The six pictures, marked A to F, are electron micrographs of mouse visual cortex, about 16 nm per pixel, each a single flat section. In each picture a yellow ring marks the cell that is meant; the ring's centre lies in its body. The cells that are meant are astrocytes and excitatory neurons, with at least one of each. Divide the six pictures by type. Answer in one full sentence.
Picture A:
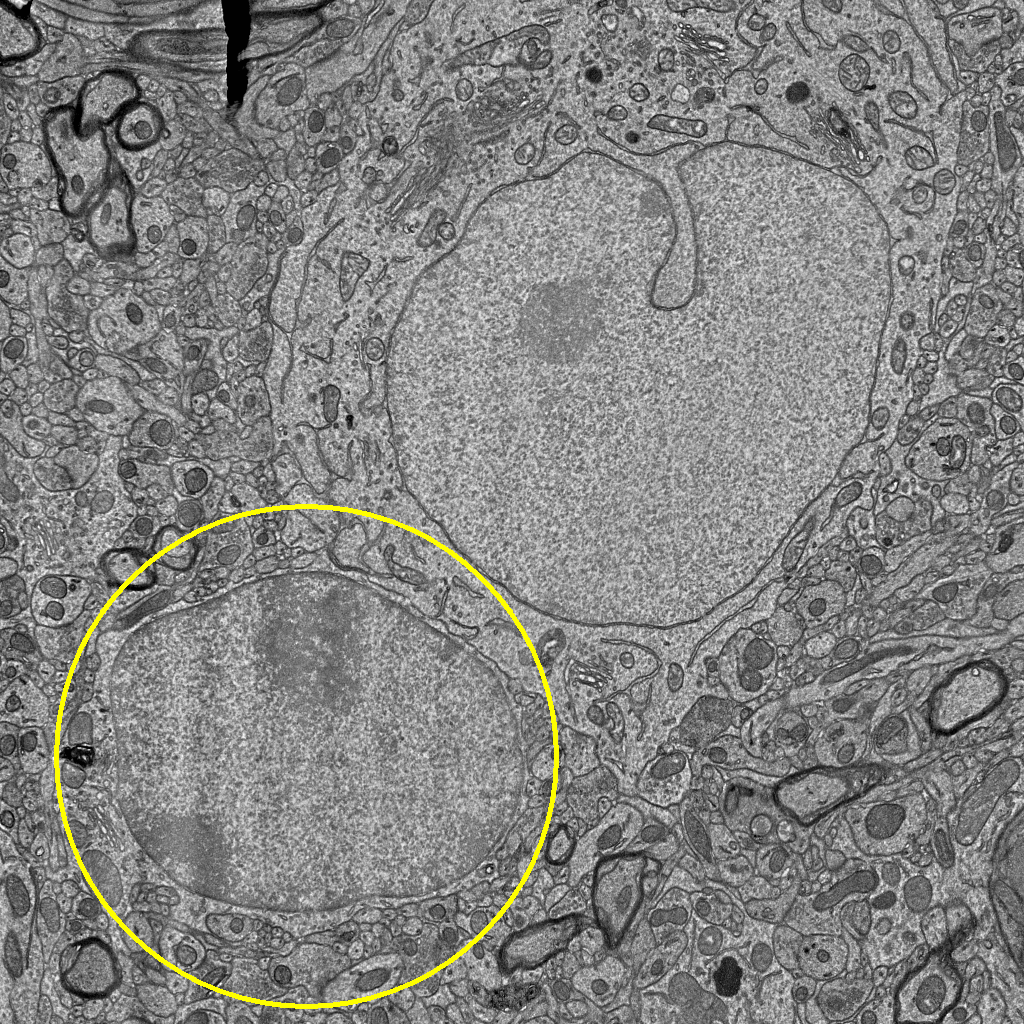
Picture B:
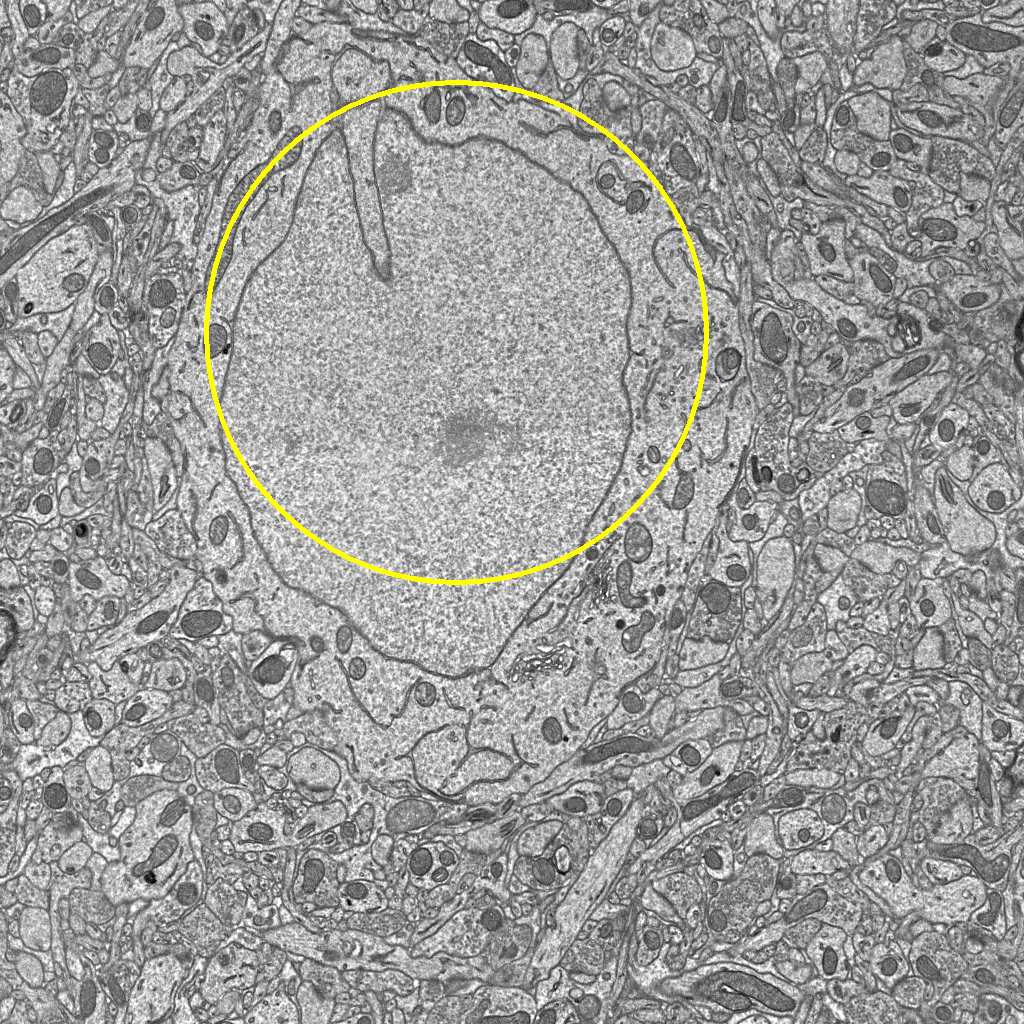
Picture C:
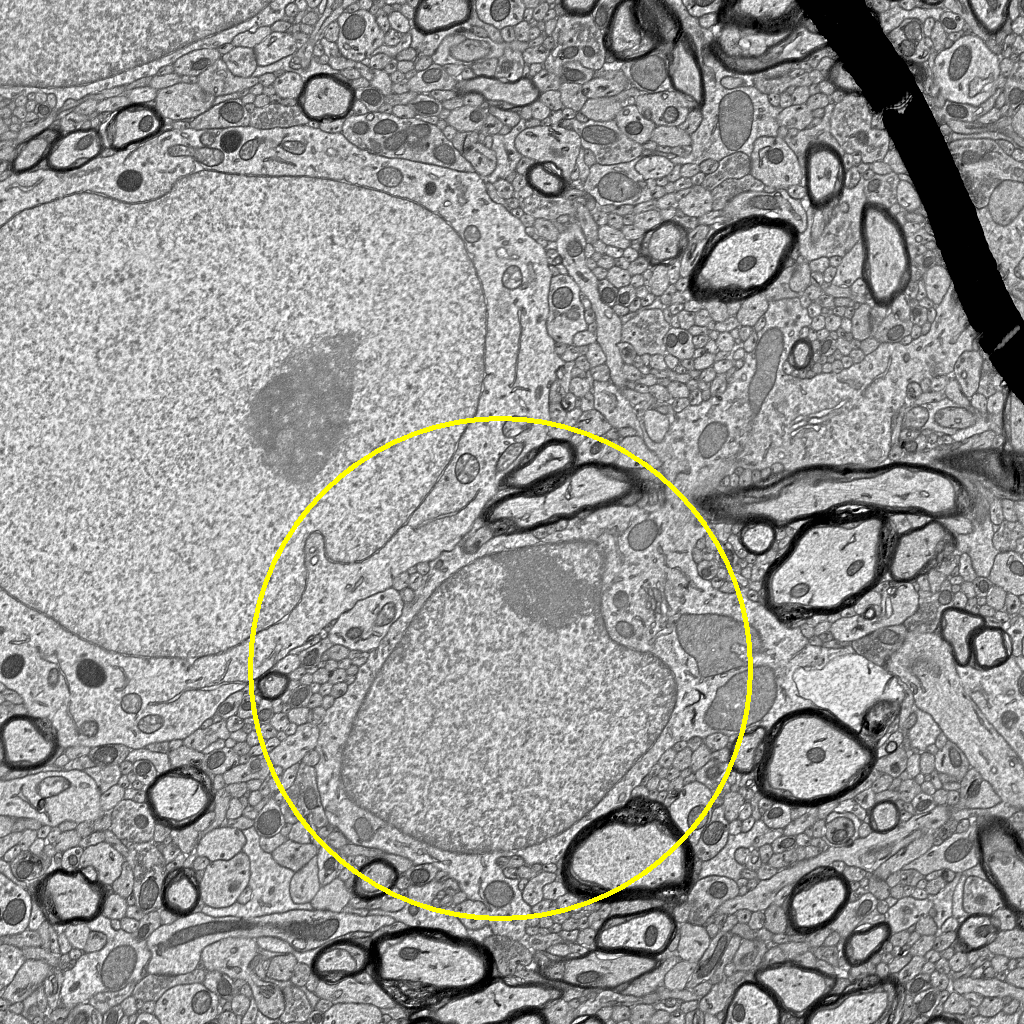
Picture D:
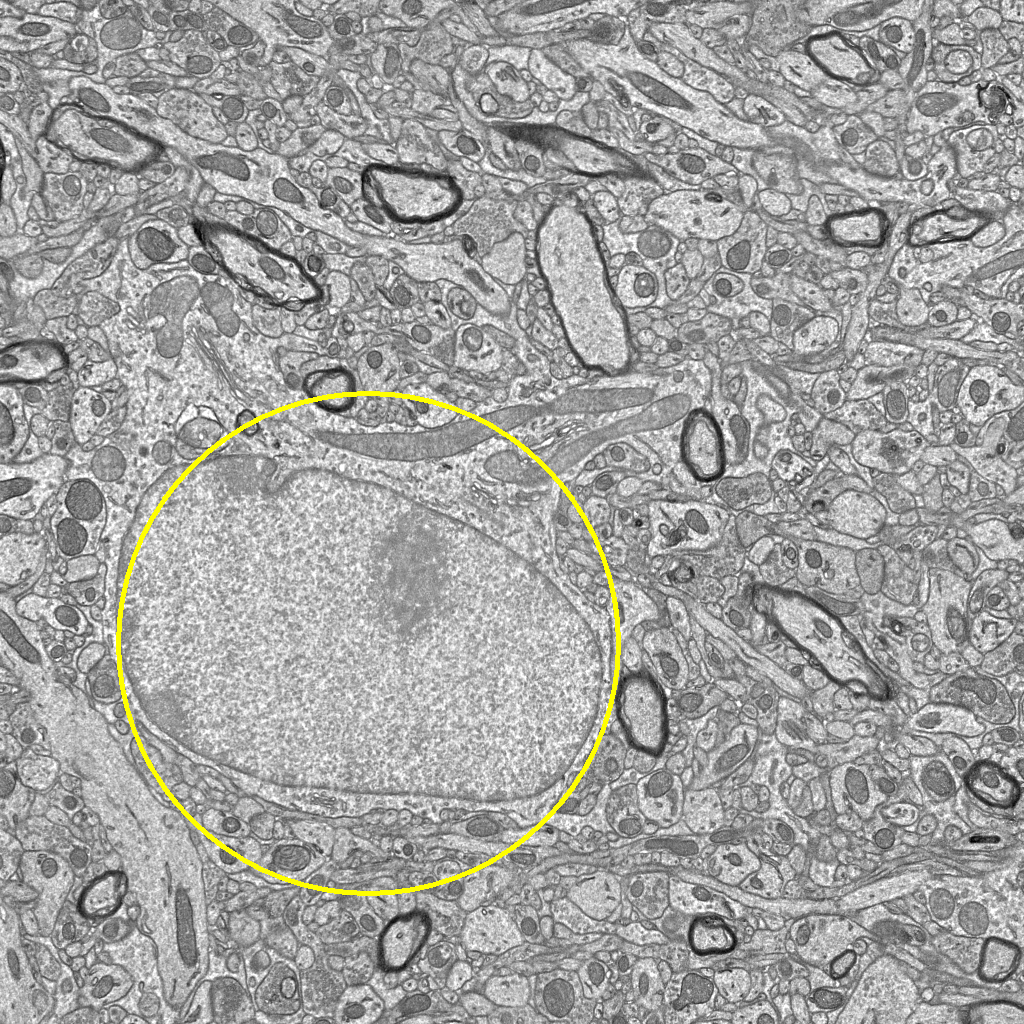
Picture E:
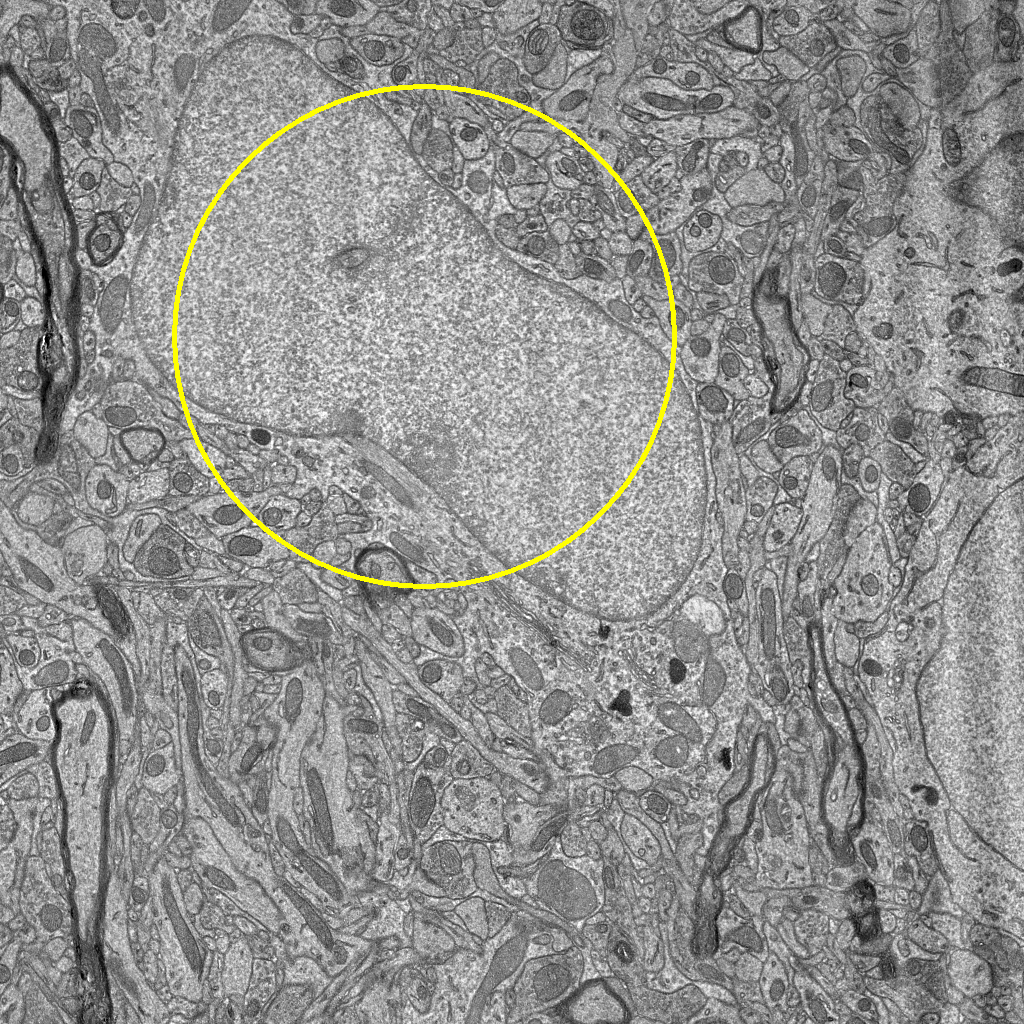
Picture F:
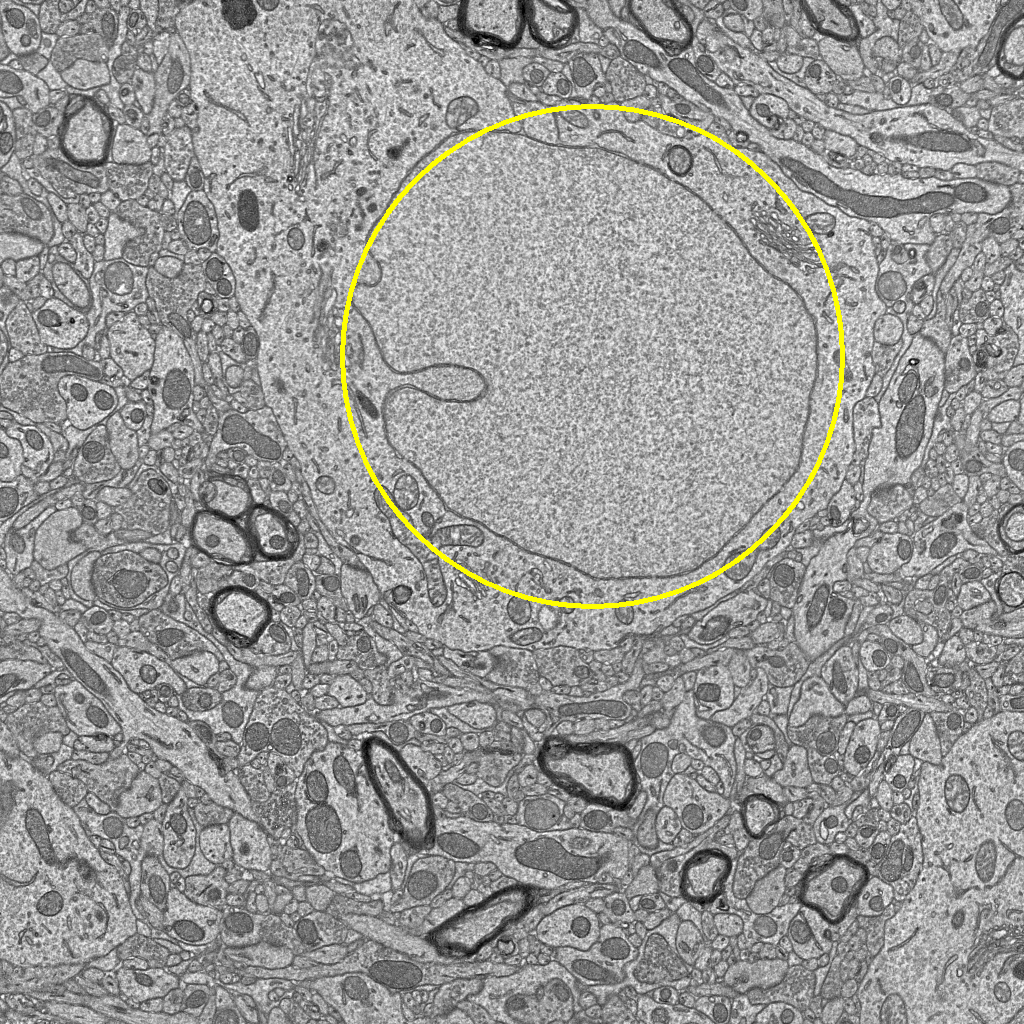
Pictures A, C, D and E show astrocytes, and pictures B and F show excitatory neurons.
